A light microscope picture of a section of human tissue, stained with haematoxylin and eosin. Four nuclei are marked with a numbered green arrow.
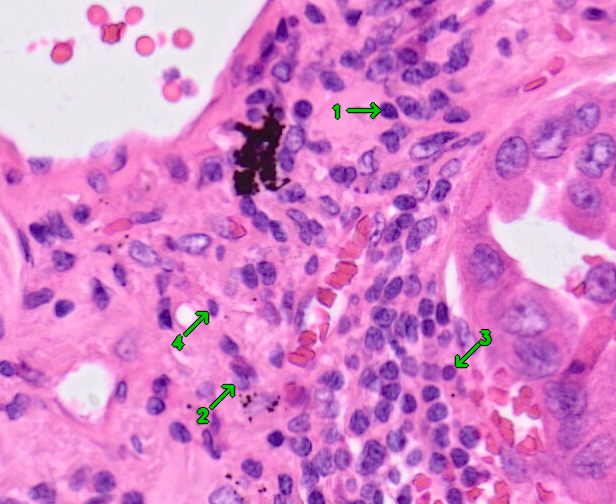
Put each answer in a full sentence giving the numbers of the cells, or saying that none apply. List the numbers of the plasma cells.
Of the cells carrying numbers, just cell 2 is a plasma cell.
